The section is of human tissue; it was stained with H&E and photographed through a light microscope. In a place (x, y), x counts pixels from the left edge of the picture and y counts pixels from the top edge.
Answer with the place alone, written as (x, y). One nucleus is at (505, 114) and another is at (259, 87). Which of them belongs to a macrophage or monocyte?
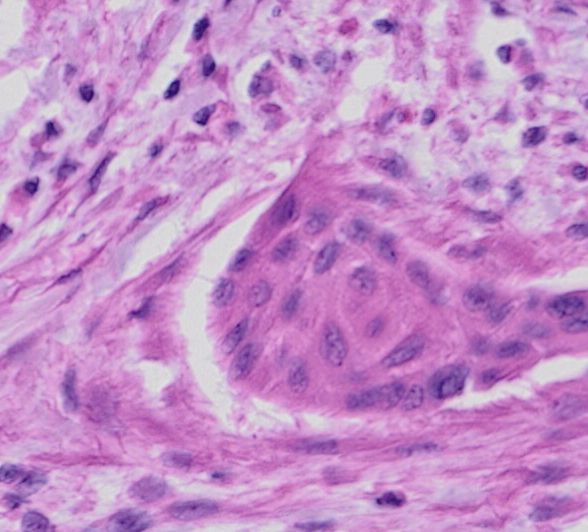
(259, 87)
